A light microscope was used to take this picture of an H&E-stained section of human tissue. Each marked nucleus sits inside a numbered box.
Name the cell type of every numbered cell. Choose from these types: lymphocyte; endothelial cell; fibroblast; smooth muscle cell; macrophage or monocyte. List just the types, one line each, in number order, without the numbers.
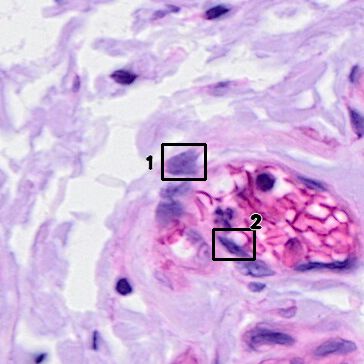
fibroblast
endothelial cell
